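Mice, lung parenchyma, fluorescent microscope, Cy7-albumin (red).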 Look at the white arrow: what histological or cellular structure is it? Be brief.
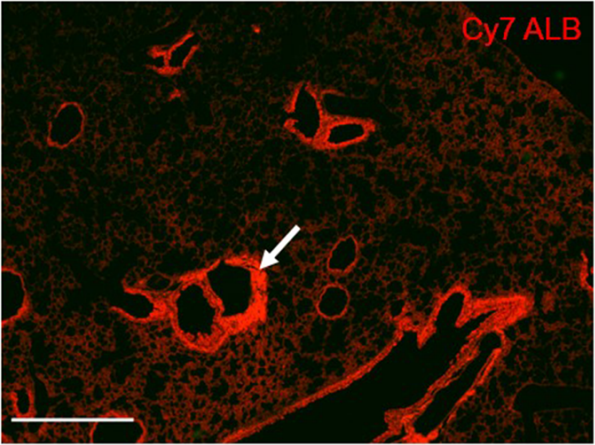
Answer: Bronchovascular bundles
